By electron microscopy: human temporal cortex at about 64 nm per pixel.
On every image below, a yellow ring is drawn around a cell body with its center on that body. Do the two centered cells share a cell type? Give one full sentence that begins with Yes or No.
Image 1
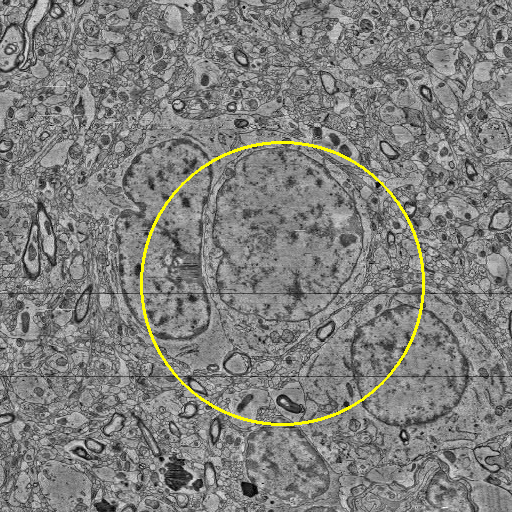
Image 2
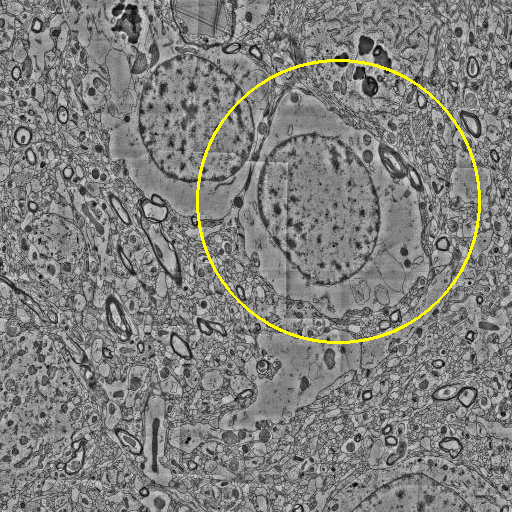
No, the centered cells in the two images are of two separate cell types.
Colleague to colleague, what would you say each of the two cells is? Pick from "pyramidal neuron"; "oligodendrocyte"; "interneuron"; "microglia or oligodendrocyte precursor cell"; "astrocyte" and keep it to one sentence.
The cell in the first picture is a pyramidal neuron; the second picture's cell is an astrocyte.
